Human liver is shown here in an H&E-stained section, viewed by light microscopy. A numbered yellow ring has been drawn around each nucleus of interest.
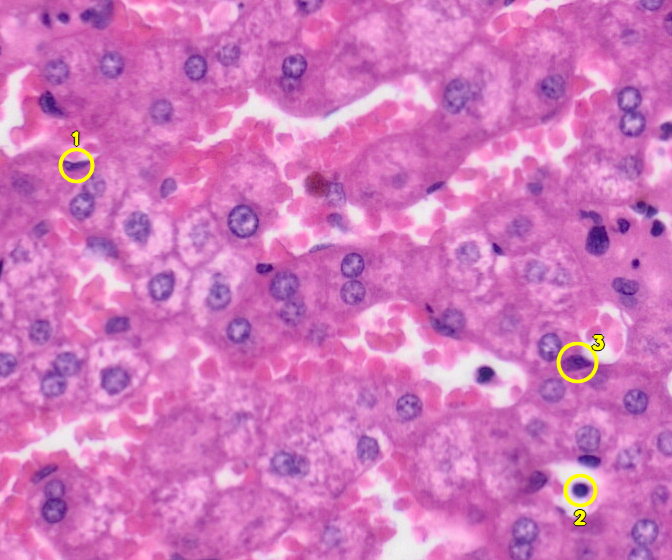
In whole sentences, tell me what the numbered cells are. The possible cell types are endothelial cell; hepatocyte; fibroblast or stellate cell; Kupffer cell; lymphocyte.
Cell 1 is an endothelial cell, cell 2 is a lymphocyte and cell 3 is a fibroblast or stellate cell.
